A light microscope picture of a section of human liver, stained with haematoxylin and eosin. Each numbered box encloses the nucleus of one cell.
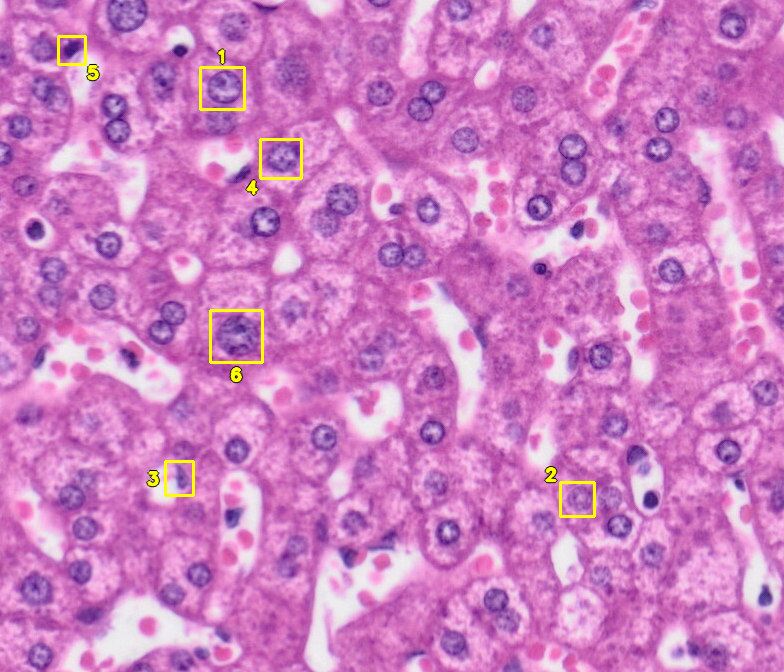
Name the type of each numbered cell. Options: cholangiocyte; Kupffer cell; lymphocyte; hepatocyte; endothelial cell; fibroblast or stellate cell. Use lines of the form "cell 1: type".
cell 1: hepatocyte
cell 2: hepatocyte
cell 3: endothelial cell
cell 4: hepatocyte
cell 5: fibroblast or stellate cell
cell 6: hepatocyte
